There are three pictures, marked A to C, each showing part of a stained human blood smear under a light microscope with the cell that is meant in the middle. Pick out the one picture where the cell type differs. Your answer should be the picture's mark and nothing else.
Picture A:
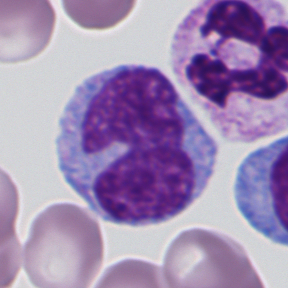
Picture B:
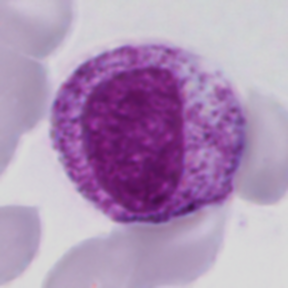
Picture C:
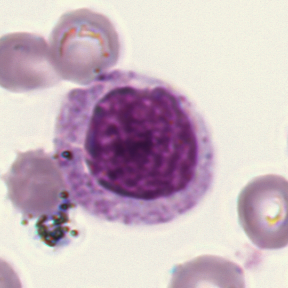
A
